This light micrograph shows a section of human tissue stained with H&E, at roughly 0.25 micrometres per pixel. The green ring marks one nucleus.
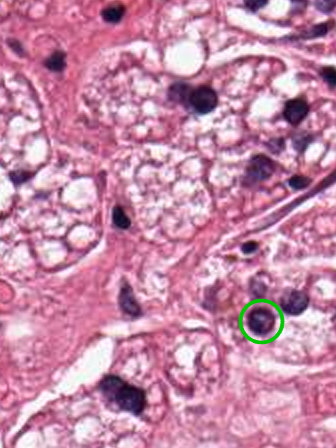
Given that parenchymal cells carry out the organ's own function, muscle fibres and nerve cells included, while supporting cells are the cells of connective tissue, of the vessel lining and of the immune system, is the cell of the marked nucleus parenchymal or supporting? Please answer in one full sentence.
The owner of the marked nucleus is a parenchymal cell, namely an adrenal cortical cell.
